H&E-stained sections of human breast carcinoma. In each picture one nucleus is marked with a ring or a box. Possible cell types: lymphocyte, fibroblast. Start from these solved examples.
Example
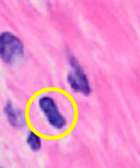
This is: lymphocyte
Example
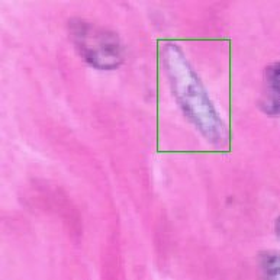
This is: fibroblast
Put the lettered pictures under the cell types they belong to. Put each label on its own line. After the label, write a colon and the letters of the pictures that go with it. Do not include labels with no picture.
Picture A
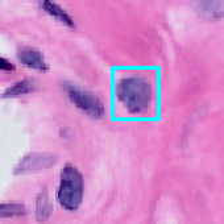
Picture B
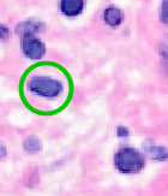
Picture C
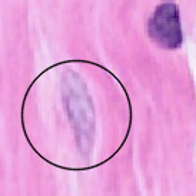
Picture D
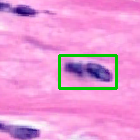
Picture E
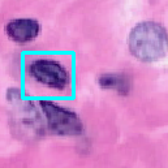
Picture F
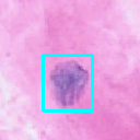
lymphocyte: A, B, D, E
fibroblast: C, F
